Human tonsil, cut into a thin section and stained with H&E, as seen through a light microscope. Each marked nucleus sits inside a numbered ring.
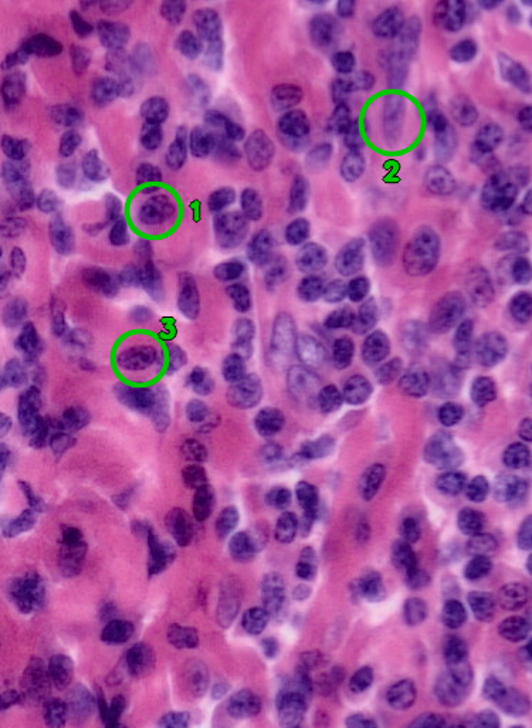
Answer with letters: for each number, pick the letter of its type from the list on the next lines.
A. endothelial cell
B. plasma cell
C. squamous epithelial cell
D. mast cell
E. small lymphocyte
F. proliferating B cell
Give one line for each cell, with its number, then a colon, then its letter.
1: B
2: A
3: D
